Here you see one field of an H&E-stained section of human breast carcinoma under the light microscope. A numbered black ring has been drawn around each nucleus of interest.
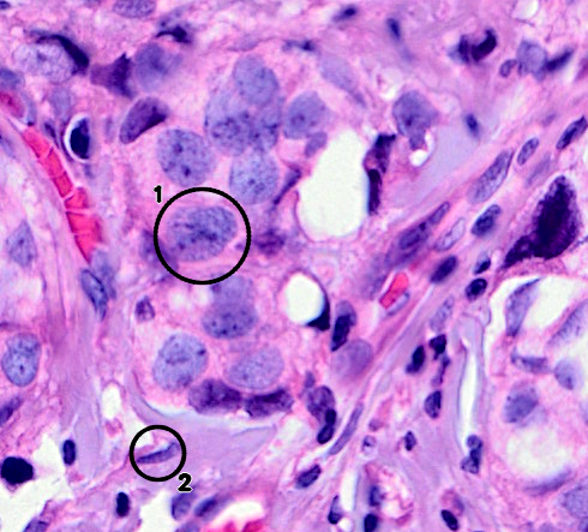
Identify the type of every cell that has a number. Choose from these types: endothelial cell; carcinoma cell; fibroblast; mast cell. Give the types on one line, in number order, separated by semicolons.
carcinoma cell; fibroblast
